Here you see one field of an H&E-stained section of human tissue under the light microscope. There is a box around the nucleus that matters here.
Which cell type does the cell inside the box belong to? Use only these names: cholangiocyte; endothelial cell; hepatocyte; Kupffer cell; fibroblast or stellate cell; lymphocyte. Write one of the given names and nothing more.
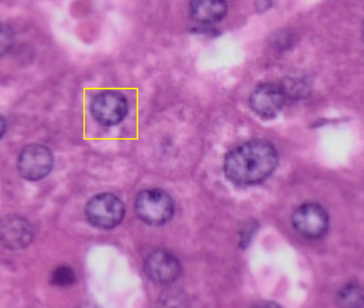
hepatocyte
